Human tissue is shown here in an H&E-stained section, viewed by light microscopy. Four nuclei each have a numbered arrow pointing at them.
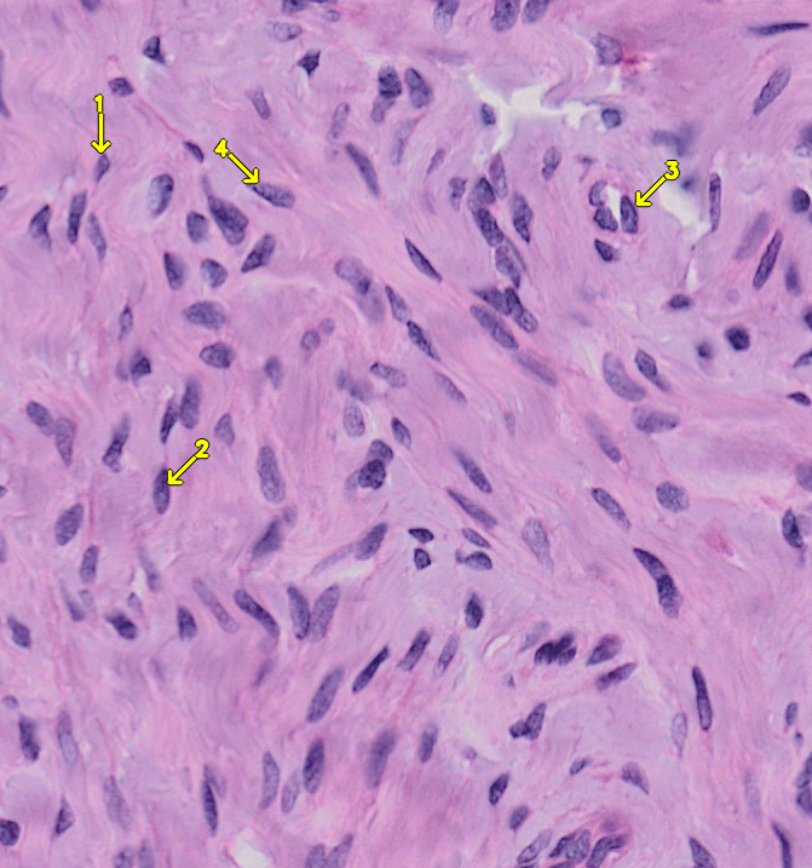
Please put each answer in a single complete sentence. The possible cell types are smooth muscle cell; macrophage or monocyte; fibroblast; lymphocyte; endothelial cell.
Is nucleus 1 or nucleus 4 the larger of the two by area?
Nucleus 4 is the larger one, covering about 2.5 times the area of nucleus 1.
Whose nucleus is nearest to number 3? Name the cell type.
Number 3 lies closest to the nucleus of an endothelial cell.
